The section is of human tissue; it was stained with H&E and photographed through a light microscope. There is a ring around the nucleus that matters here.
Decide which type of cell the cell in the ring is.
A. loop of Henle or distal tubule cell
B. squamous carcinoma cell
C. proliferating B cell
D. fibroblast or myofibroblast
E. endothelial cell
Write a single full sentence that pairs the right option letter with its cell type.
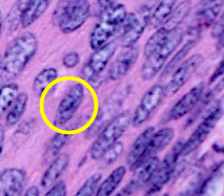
It is option B that correctly calls the cell in the ring a squamous carcinoma cell.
